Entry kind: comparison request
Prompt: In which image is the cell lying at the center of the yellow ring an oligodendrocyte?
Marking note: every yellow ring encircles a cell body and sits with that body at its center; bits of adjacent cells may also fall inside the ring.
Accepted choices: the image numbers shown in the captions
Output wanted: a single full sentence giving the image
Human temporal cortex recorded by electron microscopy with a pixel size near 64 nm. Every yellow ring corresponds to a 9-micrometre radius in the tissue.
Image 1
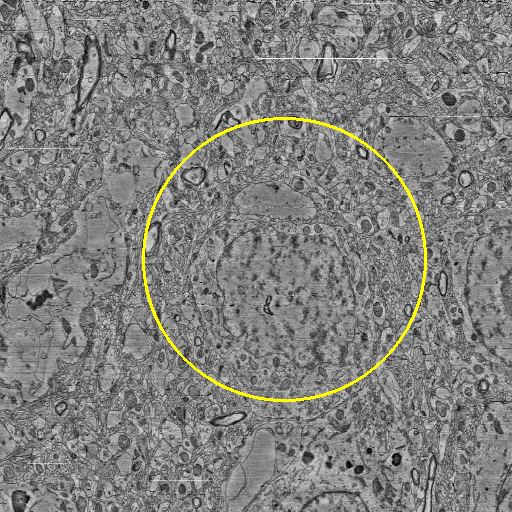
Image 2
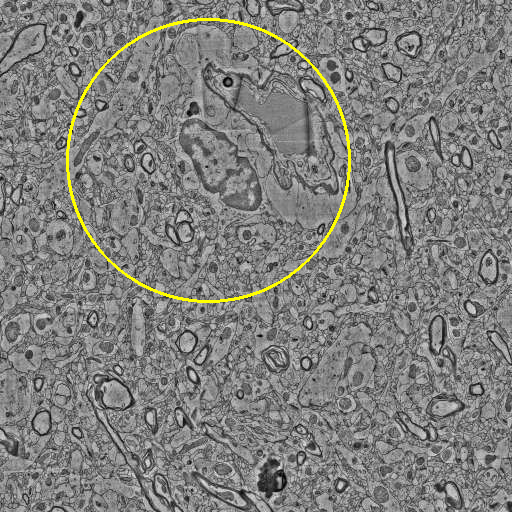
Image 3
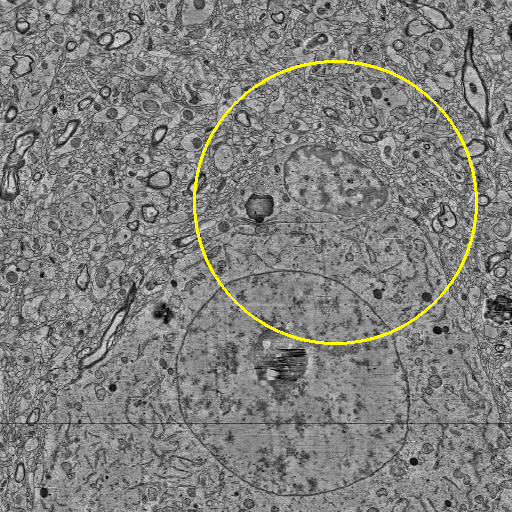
In image 3, the ringed cell at the center matches the prompt.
